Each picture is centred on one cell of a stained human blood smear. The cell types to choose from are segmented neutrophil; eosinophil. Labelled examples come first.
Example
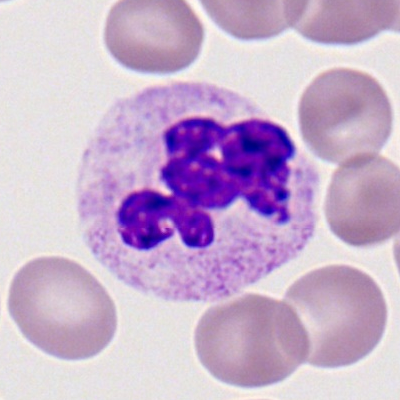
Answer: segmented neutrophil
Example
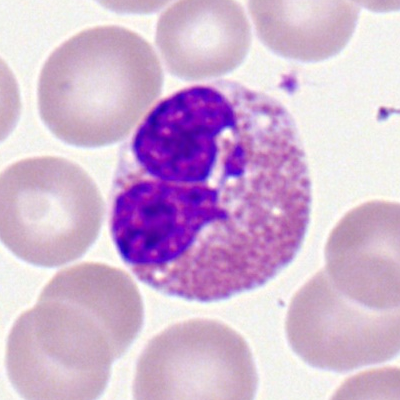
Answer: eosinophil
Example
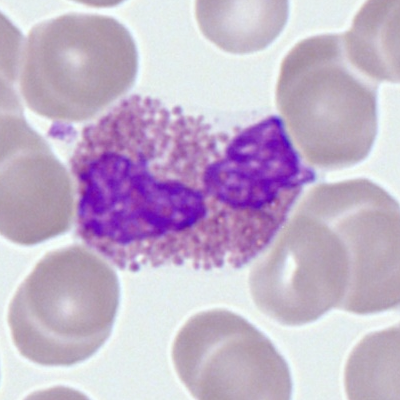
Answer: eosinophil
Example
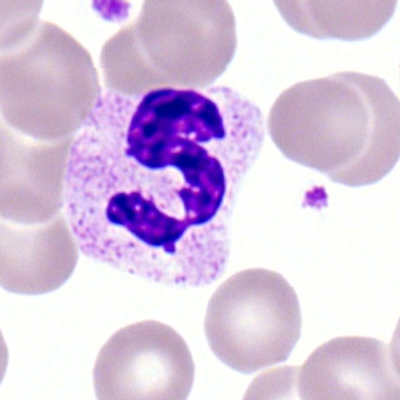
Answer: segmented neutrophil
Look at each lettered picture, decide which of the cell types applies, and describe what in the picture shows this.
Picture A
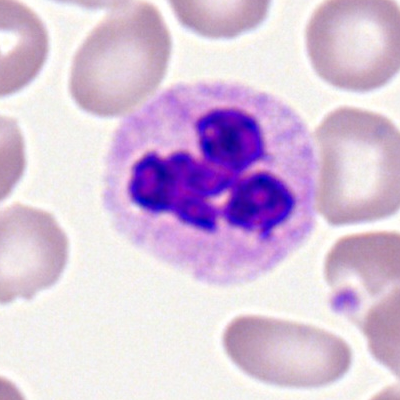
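segmented neutrophil. Reason: The cytoplasm holds fine, faint lilac granules spread evenly throughout.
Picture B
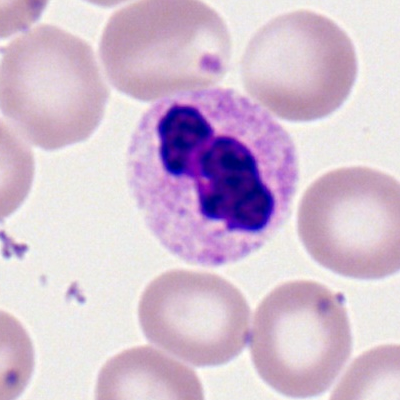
segmented neutrophil. Reason: Fine lilac-pink granules are scattered throughout the cytoplasm.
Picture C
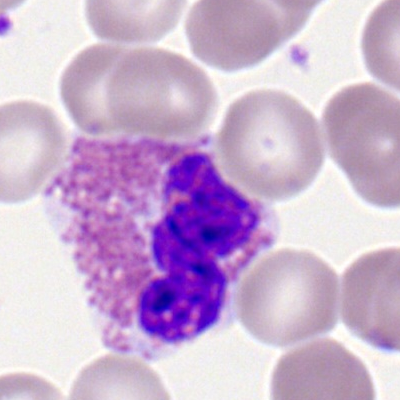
eosinophil. Reason: The granules are coarse and fairly uniform in size.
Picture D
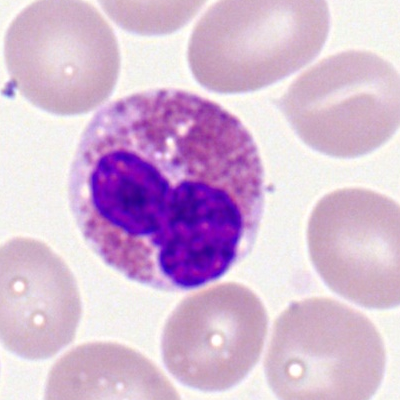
eosinophil. Reason: The granules are coarse rather than fine.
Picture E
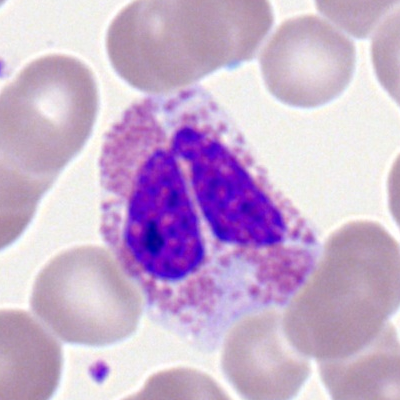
eosinophil. Reason: The granules are coarse and of fairly even size.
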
